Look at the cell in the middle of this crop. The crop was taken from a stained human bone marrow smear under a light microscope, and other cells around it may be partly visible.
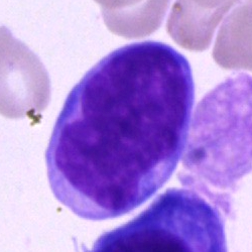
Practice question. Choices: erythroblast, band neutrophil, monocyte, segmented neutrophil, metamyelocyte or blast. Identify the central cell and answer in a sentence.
Among the cells in view, the one in the middle is a blast.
